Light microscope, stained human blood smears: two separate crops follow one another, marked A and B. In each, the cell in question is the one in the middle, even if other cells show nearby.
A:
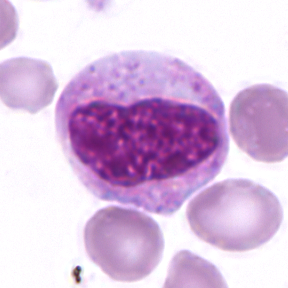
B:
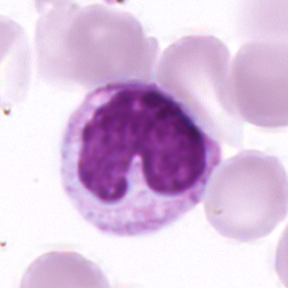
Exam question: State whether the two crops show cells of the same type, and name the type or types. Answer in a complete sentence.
No, crop A and crop B show a metamyelocyte and a band neutrophil respectively.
